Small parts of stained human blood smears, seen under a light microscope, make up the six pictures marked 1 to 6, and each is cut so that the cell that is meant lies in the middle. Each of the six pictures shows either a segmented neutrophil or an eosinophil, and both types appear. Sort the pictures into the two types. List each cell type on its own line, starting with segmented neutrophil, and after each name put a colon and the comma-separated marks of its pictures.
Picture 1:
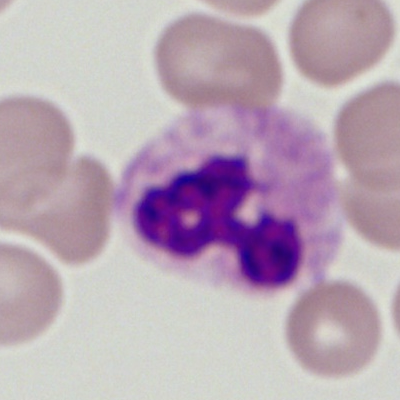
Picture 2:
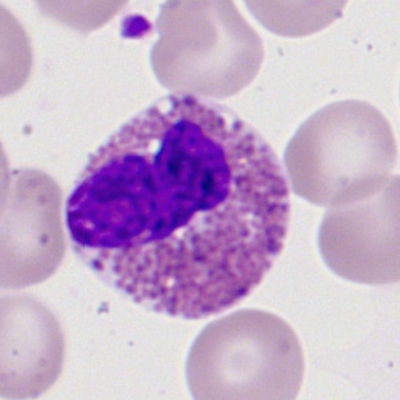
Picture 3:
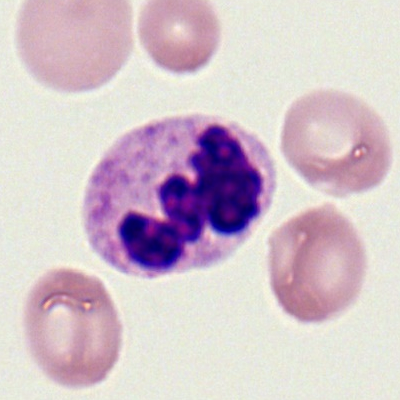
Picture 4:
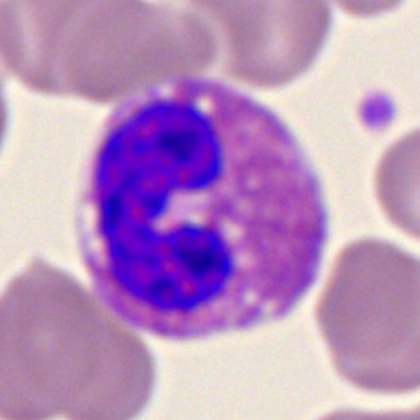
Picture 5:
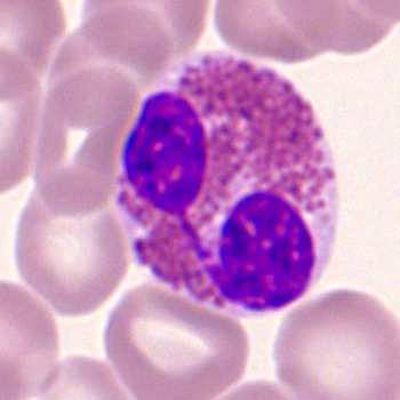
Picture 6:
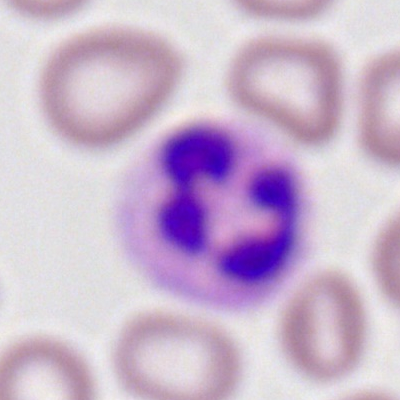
segmented neutrophil: 1, 3, 6
eosinophil: 2, 4, 5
